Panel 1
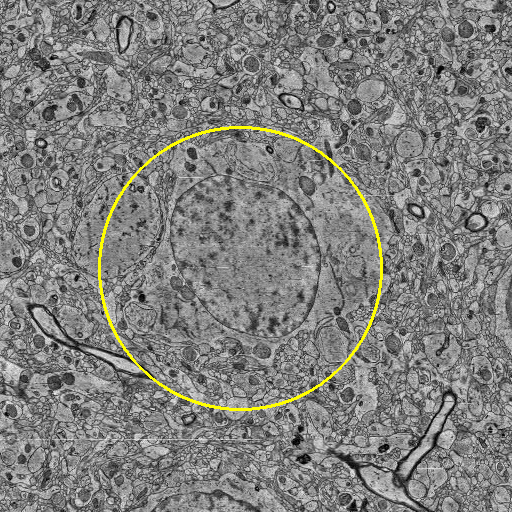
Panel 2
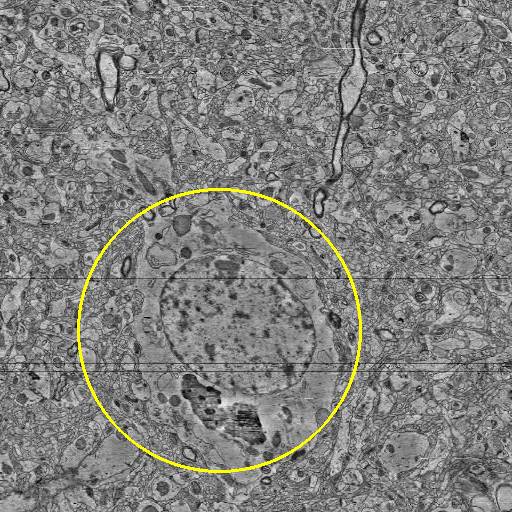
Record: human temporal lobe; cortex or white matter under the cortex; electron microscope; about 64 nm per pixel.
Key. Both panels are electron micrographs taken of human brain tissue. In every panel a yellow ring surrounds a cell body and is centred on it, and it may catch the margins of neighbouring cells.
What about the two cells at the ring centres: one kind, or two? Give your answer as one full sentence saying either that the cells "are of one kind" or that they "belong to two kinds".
Across Panels 1 and 2, the two cells at the ring centres are of one kind.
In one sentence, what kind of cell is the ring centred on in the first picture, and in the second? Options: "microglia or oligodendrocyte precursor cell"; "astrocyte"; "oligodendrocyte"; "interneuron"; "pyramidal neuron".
Each cell, in the first picture and the second, is an astrocyte.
